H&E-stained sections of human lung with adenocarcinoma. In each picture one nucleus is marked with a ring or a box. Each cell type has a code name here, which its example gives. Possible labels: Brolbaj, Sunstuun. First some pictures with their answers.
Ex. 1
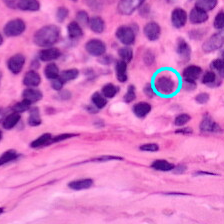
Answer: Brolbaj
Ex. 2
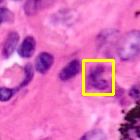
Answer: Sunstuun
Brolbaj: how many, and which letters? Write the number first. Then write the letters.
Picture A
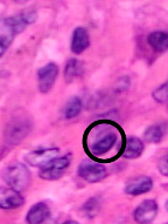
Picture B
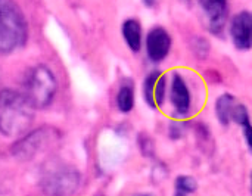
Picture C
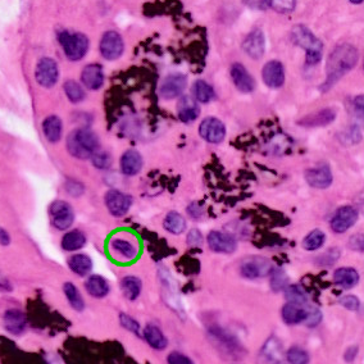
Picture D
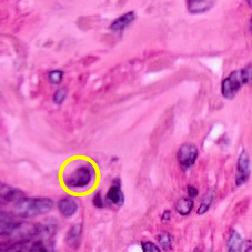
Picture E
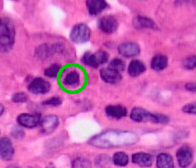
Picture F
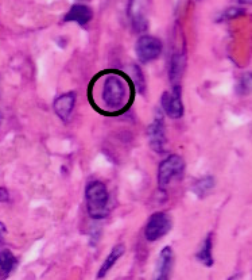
4, namely A, B, C, E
